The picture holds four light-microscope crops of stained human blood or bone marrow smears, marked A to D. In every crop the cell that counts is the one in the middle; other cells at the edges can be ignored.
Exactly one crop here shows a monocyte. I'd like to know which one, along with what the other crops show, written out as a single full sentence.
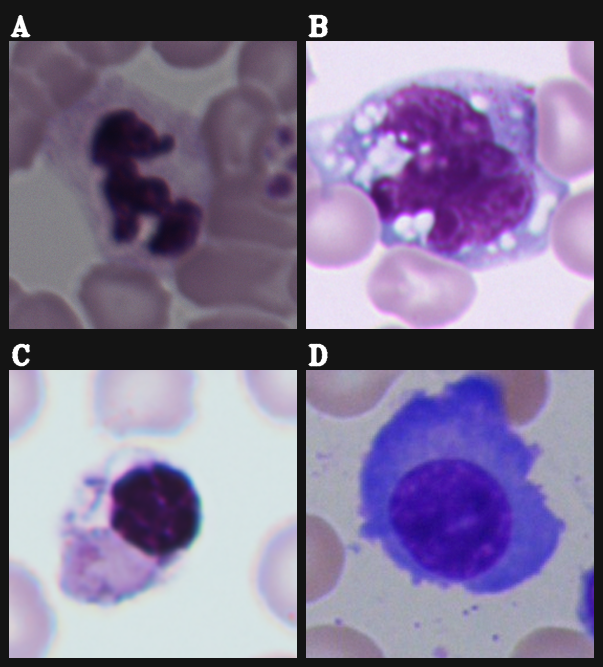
The middle of crop B holds a monocyte, while crop A is a neutrophil, crop C is a normoblast and crop D is a plasma cell.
